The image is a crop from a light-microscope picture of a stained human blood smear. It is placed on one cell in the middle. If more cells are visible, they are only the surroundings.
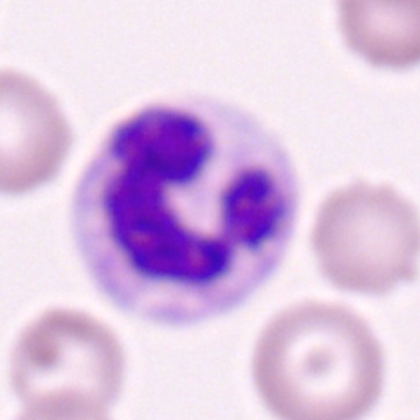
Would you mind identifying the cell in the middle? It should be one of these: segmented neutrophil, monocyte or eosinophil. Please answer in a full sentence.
The crop shows a segmented neutrophil in its centre.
